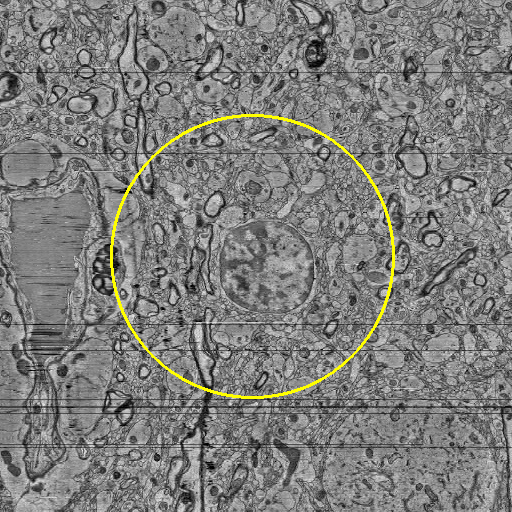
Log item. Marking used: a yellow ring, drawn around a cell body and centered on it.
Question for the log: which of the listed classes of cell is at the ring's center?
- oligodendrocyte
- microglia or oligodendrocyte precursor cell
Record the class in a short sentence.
At the center of the ring lies a microglial cell or oligodendrocyte precursor cell.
